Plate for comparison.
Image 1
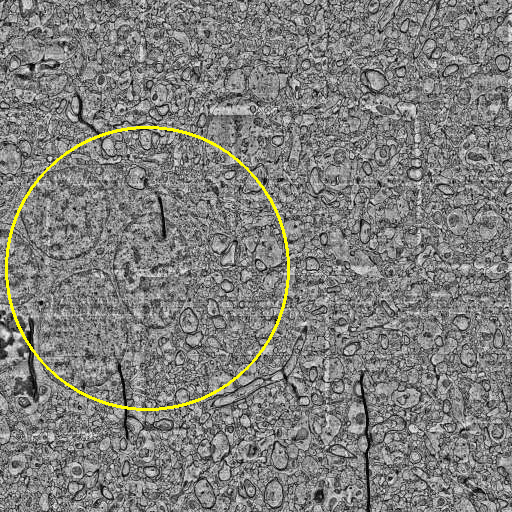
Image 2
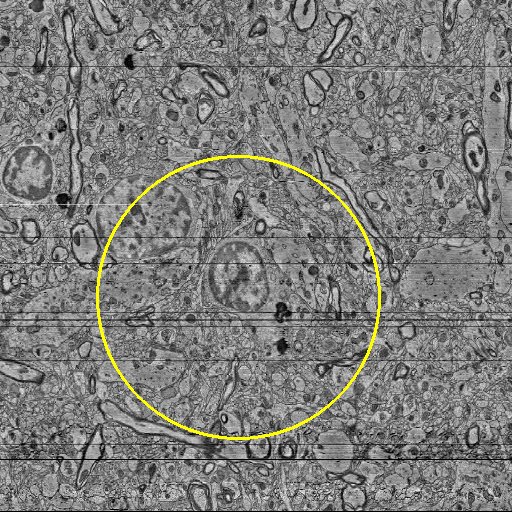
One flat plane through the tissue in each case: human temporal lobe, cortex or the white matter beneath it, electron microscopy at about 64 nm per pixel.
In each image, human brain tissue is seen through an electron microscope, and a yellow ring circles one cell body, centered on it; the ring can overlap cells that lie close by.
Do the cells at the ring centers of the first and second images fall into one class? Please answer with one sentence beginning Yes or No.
Yes, the first and second images show a single class of cell at the ring centers.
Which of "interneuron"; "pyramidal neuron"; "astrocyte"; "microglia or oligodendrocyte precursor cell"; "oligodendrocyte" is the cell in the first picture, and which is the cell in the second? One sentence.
Each of the two pictures has an oligodendrocyte at the ring centre.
